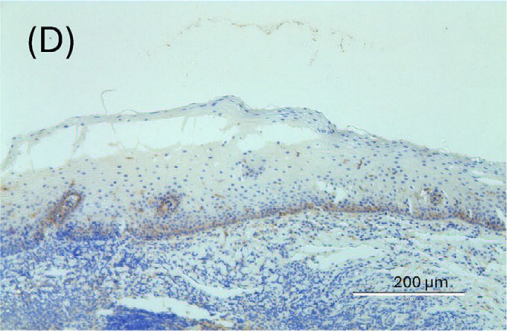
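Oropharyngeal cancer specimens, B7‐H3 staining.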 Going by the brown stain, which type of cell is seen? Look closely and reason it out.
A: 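Basal keratinocytes. A thin brown band runs along the bottom layer of the stratified epithelium. The upper layers of the epithelium are pale.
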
